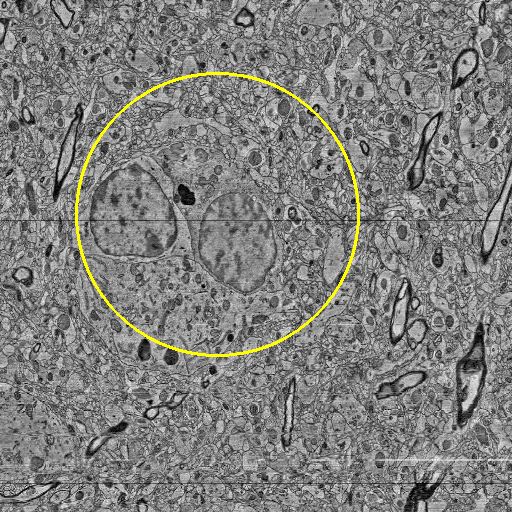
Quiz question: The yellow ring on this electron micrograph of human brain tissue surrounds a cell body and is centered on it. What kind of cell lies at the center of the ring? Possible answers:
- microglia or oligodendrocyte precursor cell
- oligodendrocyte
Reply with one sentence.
The ring's center lies on an oligodendrocyte.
